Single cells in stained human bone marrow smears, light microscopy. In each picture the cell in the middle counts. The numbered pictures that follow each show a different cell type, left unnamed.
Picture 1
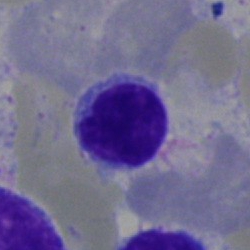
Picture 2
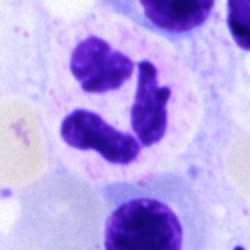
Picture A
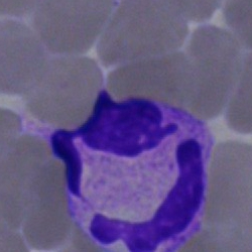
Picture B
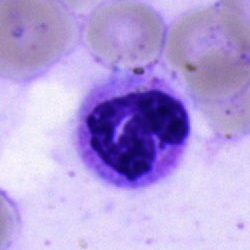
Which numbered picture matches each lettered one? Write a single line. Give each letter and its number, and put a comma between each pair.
A 2, B 2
